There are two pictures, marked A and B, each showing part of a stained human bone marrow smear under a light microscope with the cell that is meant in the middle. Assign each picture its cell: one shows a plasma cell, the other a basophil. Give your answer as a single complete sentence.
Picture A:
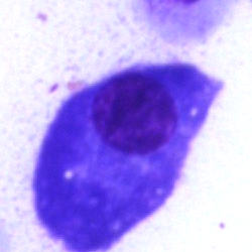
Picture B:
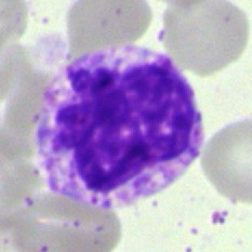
The cell in picture A is a plasma cell, and the one in picture B is a basophil.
